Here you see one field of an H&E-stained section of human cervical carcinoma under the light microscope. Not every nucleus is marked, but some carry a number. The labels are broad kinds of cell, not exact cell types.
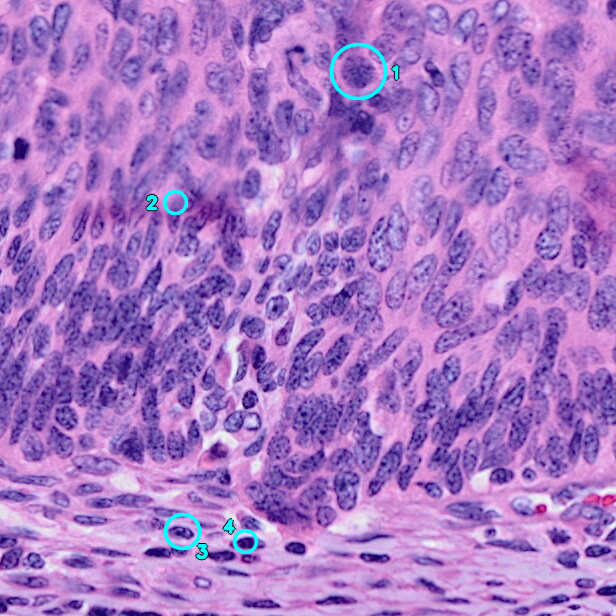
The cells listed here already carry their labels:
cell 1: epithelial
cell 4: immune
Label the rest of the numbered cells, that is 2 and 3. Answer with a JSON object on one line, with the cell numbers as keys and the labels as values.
{"2": "epithelial", "3": "immune"}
